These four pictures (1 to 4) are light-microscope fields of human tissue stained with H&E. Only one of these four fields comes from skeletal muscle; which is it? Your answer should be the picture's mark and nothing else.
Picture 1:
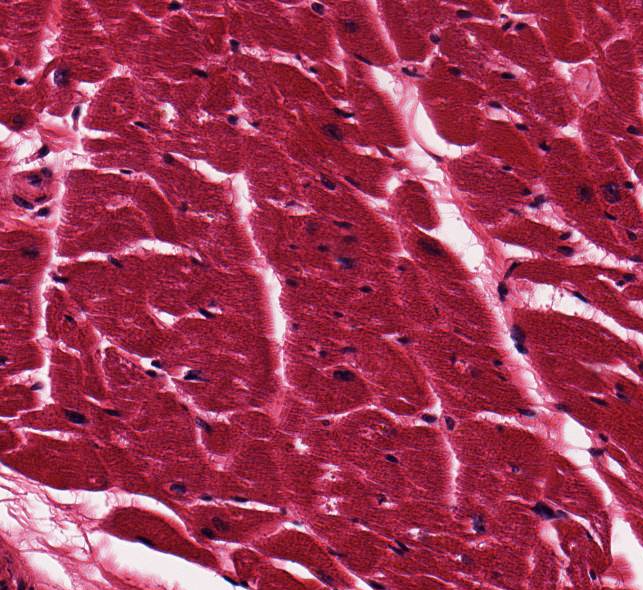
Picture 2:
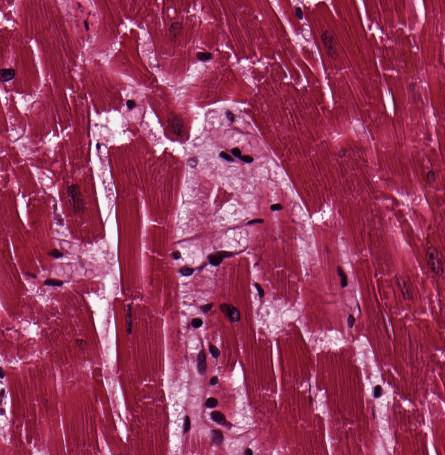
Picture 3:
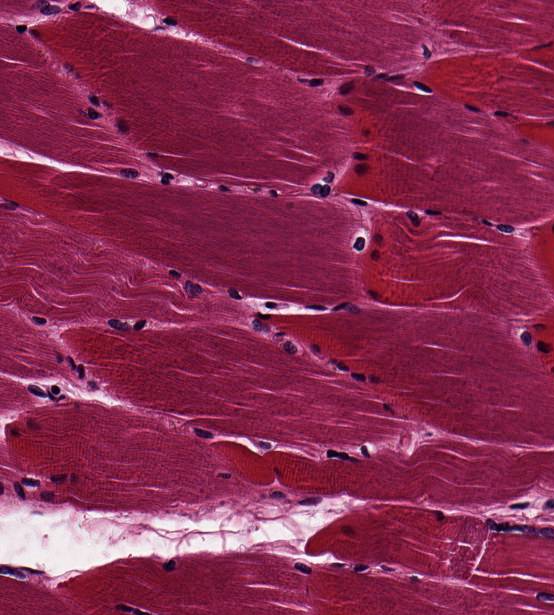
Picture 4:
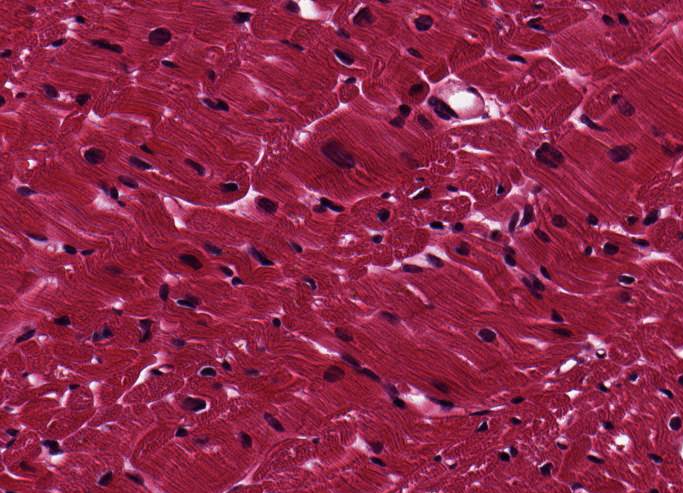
3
